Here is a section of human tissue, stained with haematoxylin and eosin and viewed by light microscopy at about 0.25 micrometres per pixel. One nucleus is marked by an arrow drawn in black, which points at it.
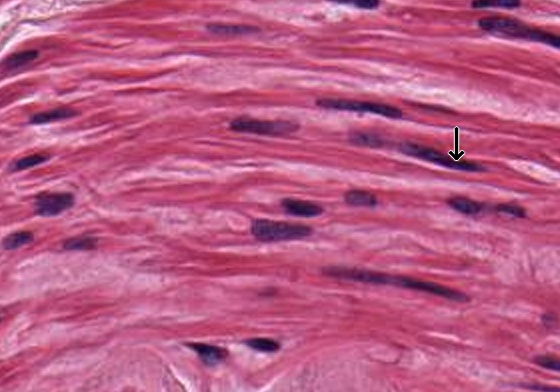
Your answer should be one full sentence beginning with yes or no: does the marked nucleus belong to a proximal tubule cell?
No, the marked nucleus is not located in a proximal tubule cell.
